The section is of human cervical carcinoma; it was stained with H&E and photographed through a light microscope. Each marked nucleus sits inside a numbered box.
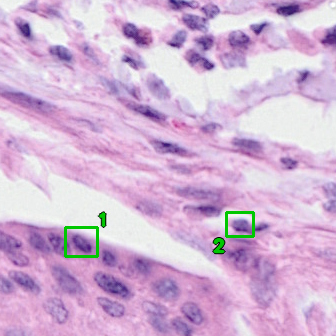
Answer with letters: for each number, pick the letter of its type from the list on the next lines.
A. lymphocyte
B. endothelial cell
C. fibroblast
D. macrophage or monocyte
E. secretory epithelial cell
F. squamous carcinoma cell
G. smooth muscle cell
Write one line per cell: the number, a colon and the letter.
1: F
2: A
